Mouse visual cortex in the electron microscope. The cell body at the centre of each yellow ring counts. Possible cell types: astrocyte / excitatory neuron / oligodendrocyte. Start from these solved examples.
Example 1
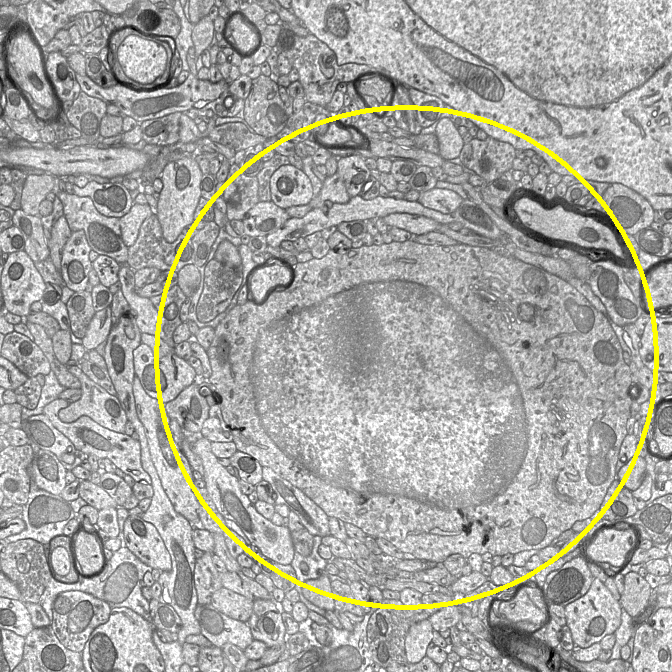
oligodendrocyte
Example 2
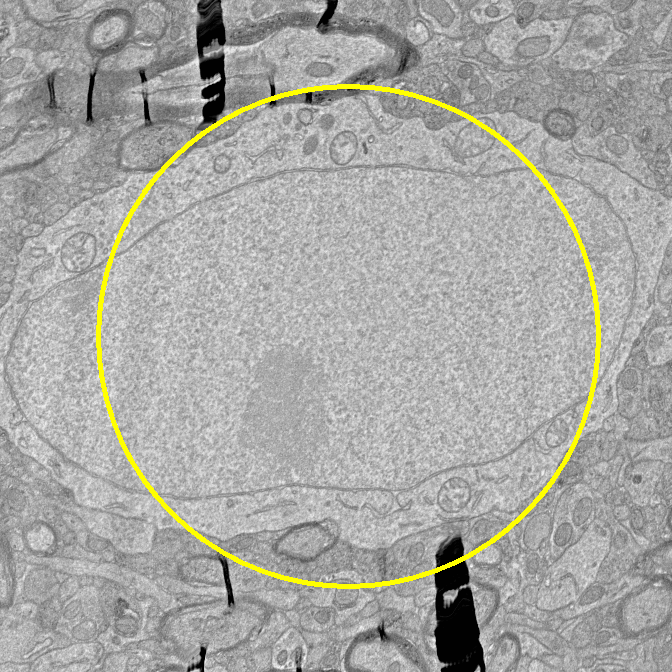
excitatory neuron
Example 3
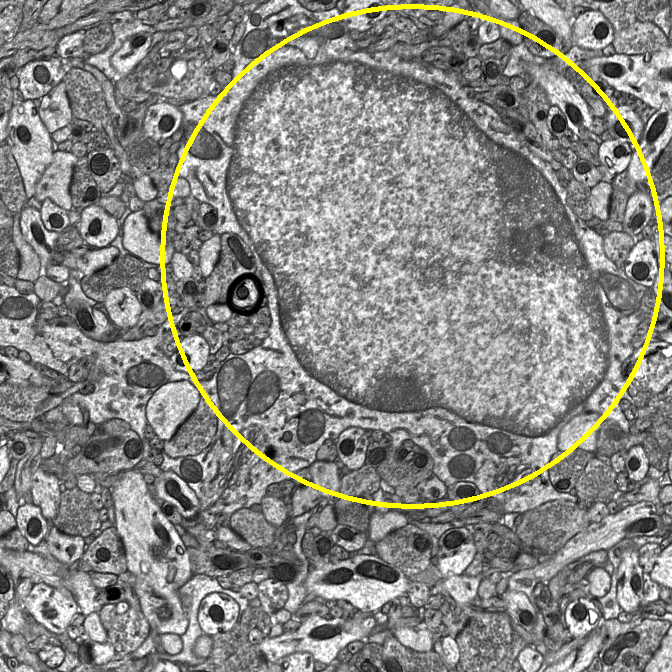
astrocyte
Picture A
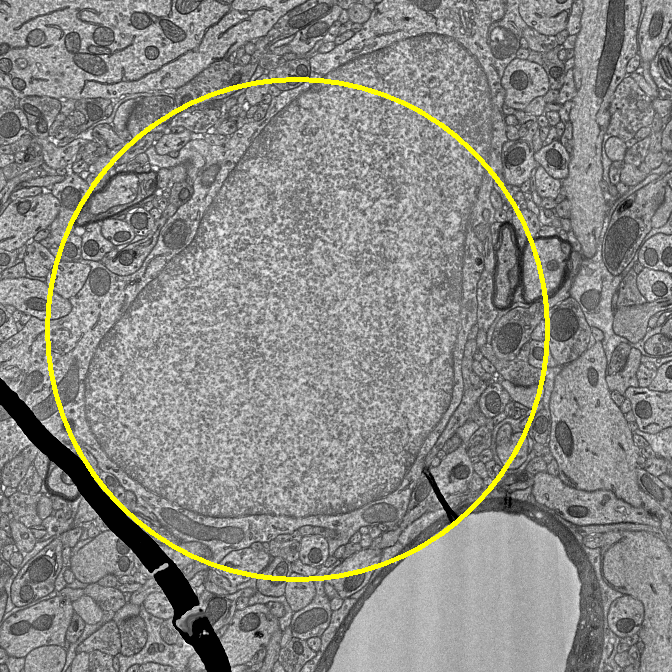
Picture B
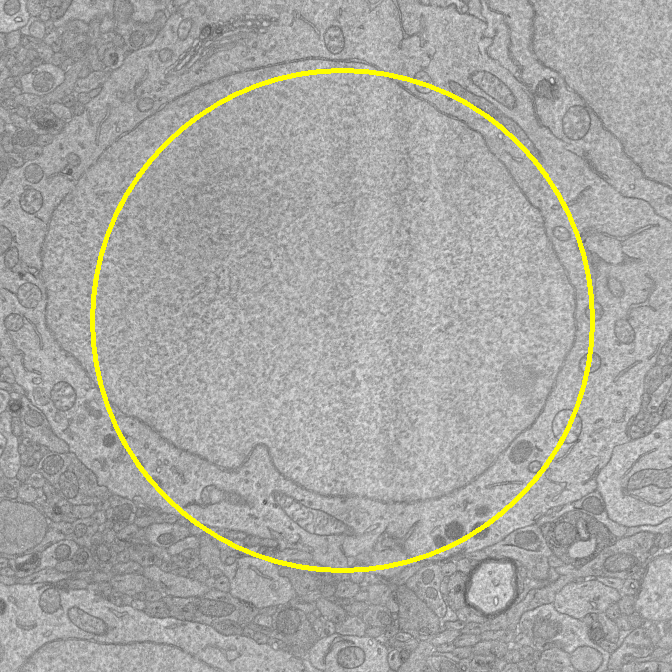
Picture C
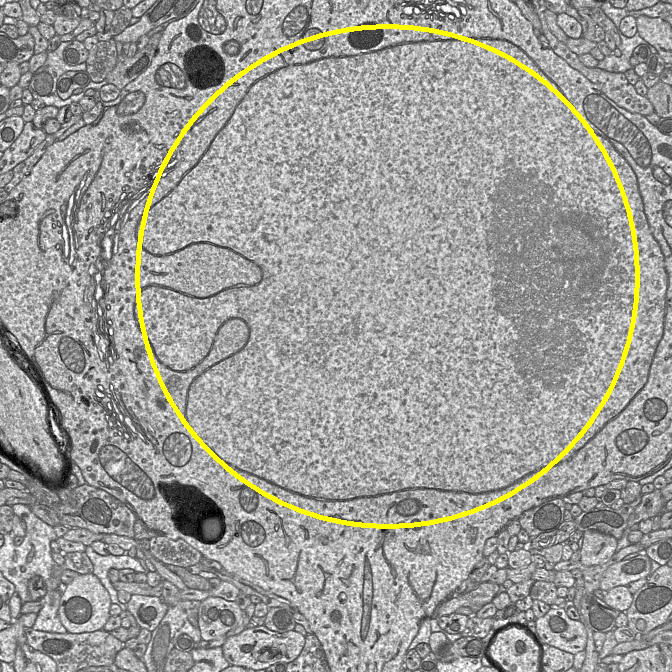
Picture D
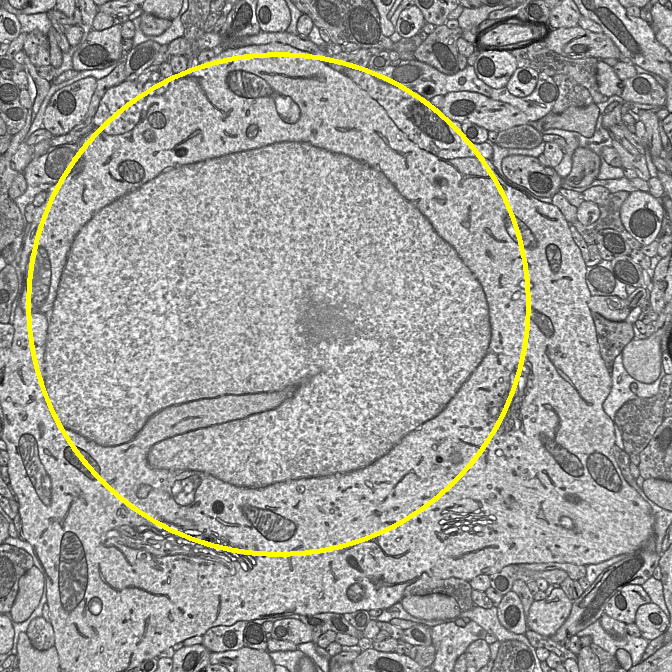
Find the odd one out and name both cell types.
Odd one out: A (astrocyte). The rest: excitatory neuron.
